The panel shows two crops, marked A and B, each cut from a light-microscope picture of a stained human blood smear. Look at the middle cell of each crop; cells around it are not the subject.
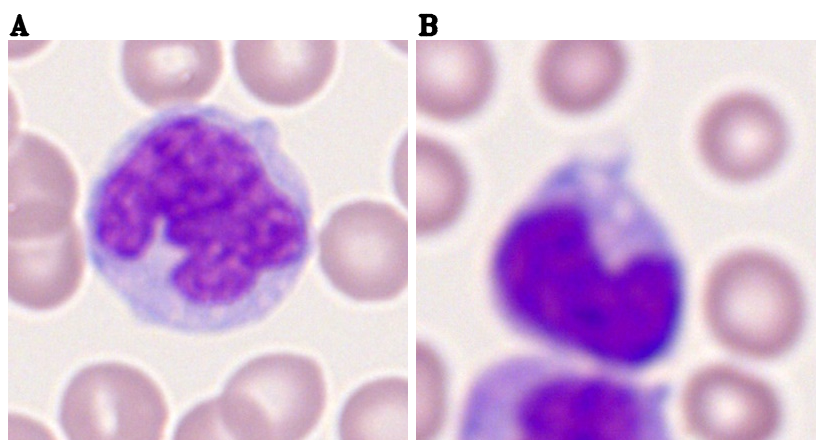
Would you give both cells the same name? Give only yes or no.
yes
